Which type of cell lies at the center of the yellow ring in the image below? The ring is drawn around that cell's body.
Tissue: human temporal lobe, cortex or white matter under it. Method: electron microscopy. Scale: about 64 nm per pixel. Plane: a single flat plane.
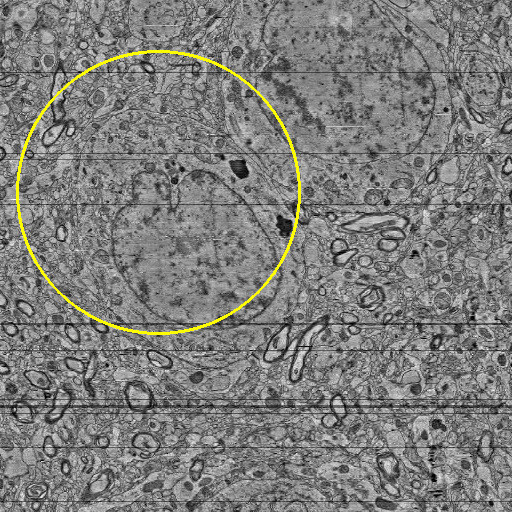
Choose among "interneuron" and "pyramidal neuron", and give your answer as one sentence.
The cell body at the center belongs to a pyramidal neuron.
